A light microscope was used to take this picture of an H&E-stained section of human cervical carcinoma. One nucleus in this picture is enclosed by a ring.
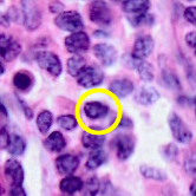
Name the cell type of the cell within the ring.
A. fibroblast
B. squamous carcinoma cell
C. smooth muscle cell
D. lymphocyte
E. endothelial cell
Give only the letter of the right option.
D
